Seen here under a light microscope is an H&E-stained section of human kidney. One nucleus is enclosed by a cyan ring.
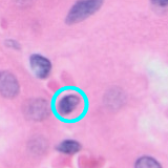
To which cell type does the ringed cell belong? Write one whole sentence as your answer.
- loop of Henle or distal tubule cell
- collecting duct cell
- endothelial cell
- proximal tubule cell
As for its identity, the ringed cell is an endothelial cell.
